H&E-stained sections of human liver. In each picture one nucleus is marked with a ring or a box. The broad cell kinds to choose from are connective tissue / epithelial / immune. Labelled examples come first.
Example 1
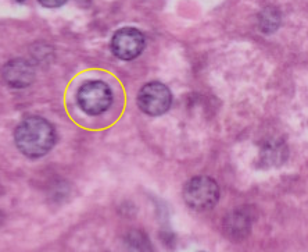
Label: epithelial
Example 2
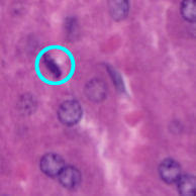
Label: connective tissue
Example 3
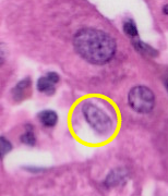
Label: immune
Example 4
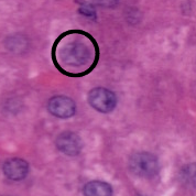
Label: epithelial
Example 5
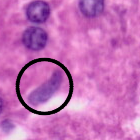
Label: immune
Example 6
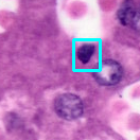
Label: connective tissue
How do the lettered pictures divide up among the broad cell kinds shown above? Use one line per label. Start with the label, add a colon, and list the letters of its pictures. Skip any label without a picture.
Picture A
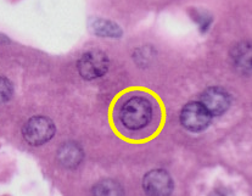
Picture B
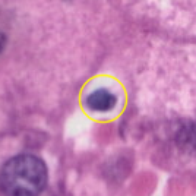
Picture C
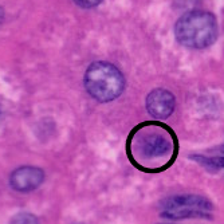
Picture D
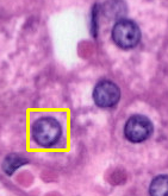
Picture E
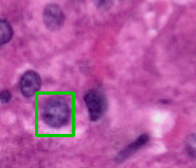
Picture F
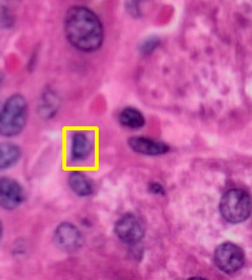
connective tissue: C, F
epithelial: A, D, E
immune: B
